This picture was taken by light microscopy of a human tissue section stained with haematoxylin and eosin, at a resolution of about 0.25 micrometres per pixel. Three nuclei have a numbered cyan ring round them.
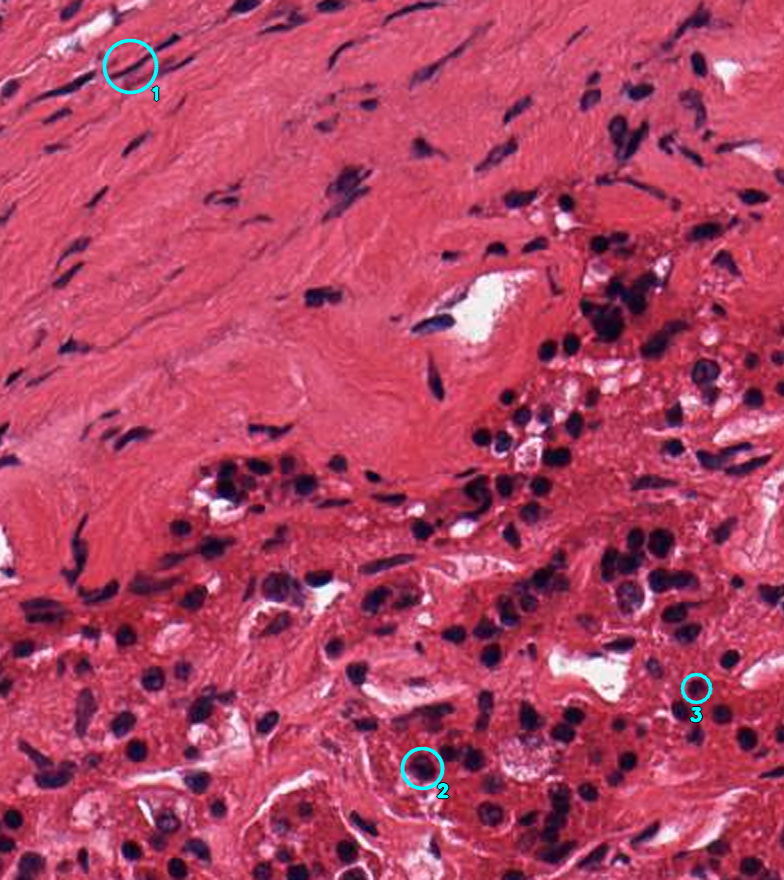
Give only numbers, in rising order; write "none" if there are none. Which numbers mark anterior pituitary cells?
2, 3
